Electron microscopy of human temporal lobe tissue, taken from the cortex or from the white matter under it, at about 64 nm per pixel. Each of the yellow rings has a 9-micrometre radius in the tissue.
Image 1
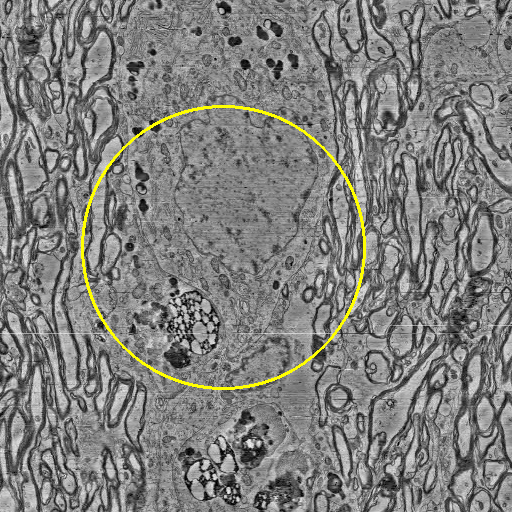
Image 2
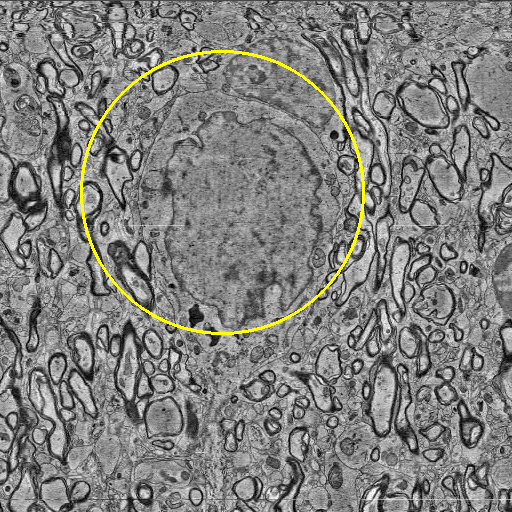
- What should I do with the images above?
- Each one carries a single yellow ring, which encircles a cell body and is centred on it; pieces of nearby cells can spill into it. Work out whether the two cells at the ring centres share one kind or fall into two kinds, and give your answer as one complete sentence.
The ring-centre cells of Image 1 and Image 2 share one kind.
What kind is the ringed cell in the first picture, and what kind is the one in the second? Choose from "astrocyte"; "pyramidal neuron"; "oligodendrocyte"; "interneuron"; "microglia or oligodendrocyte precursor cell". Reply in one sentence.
Both the first and the second picture show an interneuron in the ring.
